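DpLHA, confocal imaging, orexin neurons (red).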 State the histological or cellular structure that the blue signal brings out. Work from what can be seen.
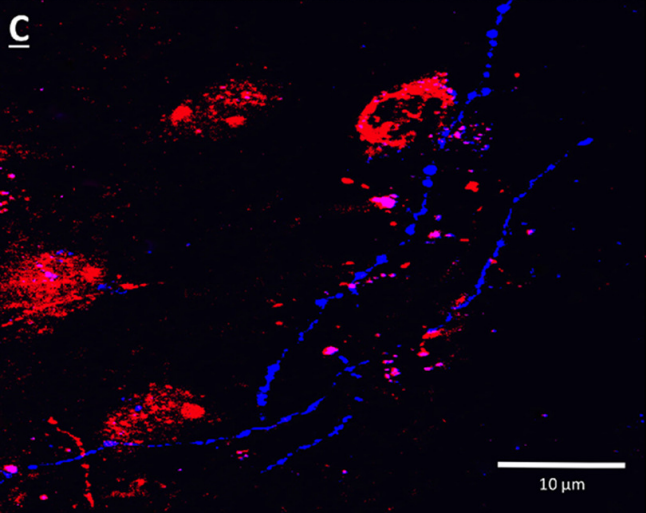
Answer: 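Long thin blue fibres run diagonally across the field. The blue fibres are beaded with small swellings along their length. Some blue fibres pass close to red cell bodies.
Answer: axons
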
